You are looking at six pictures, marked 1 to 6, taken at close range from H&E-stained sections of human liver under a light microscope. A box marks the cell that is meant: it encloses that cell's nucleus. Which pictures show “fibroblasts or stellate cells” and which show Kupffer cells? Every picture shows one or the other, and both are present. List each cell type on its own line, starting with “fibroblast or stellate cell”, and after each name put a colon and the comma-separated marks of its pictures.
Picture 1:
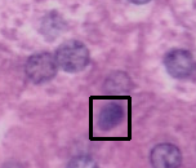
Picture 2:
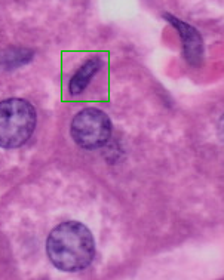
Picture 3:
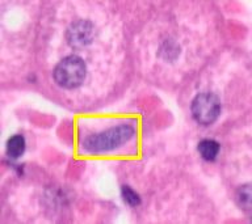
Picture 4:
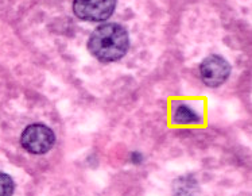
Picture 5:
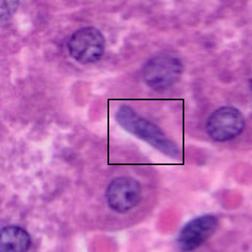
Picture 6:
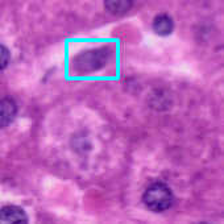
fibroblast or stellate cell: 1, 2, 4
Kupffer cell: 3, 5, 6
